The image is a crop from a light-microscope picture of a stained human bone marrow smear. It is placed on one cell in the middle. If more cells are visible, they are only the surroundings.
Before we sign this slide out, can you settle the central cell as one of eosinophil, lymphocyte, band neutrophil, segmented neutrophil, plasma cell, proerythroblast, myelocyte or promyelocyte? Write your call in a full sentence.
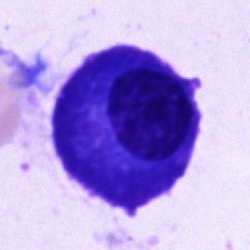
The cell in the exact centre of the crop is a plasma cell.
